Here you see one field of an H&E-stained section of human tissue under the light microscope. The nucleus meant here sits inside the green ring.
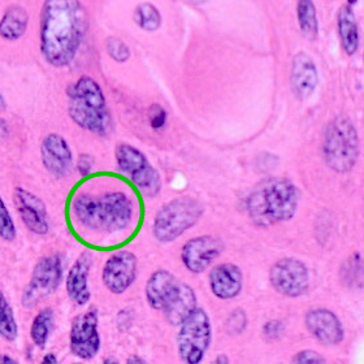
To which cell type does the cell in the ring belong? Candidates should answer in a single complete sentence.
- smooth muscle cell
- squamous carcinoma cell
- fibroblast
As a matter of cell type, the cell in the ring is a squamous carcinoma cell.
